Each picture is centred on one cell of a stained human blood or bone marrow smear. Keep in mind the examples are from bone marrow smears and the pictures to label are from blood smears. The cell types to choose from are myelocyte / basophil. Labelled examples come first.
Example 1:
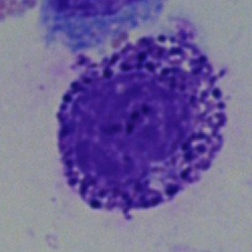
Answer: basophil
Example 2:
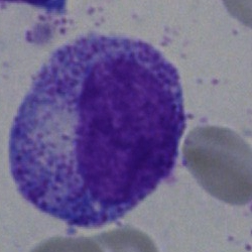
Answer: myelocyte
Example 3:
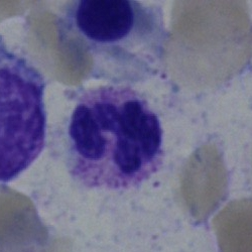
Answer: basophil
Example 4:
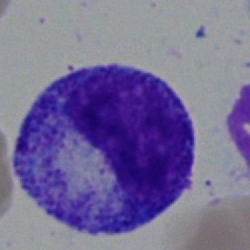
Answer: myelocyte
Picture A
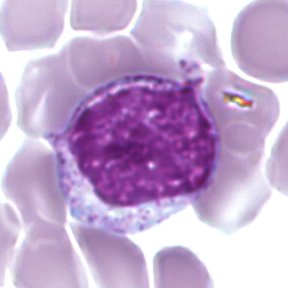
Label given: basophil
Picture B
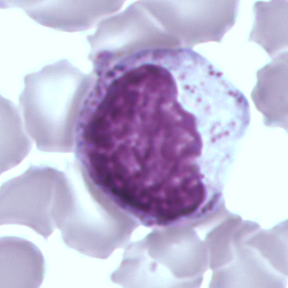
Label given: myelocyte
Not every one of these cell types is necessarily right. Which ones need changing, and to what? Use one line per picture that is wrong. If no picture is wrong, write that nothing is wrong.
A: myelocyte, not basophil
